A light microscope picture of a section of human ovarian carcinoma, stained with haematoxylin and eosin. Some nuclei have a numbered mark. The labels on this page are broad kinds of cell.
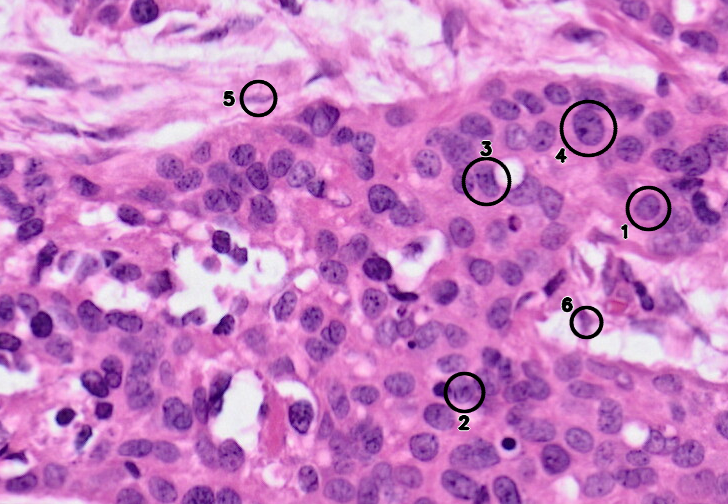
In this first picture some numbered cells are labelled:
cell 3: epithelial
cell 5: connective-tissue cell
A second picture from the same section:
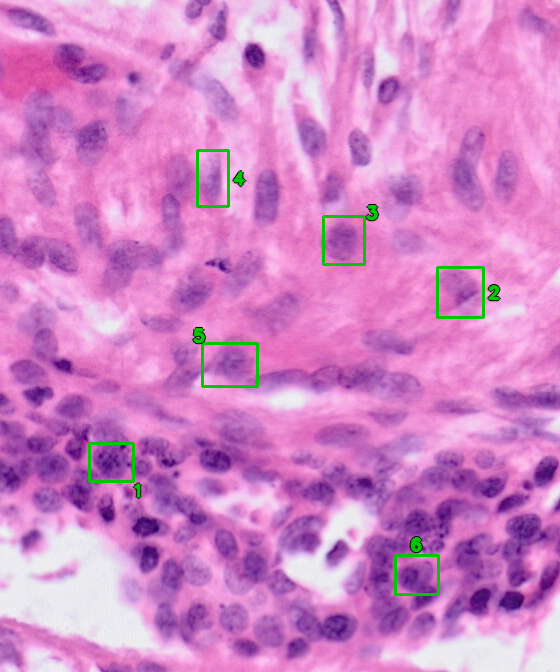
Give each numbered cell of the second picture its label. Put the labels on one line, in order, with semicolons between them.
epithelial; connective-tissue cell; connective-tissue cell; connective-tissue cell; connective-tissue cell; epithelial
